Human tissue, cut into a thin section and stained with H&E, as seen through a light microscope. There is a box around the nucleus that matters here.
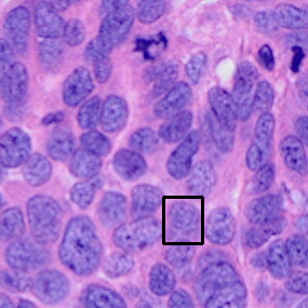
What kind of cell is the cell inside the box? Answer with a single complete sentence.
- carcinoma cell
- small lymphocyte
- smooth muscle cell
Recorded by type, the cell inside the box is a carcinoma cell.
